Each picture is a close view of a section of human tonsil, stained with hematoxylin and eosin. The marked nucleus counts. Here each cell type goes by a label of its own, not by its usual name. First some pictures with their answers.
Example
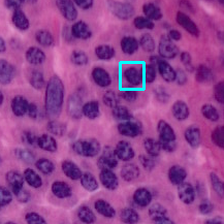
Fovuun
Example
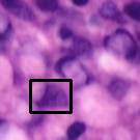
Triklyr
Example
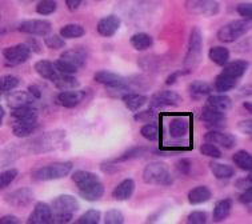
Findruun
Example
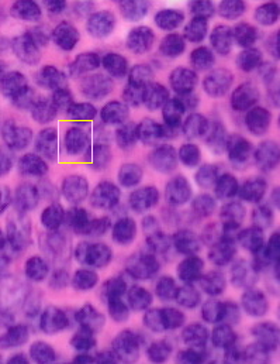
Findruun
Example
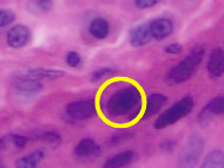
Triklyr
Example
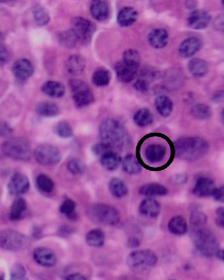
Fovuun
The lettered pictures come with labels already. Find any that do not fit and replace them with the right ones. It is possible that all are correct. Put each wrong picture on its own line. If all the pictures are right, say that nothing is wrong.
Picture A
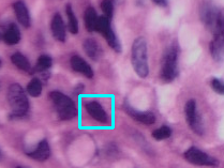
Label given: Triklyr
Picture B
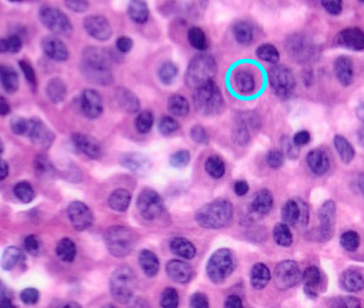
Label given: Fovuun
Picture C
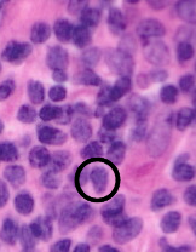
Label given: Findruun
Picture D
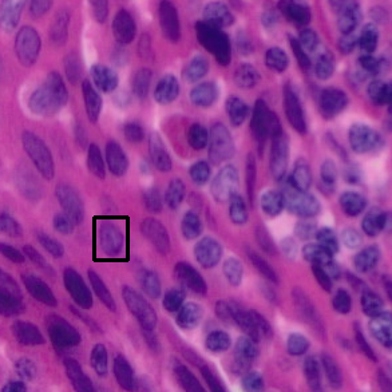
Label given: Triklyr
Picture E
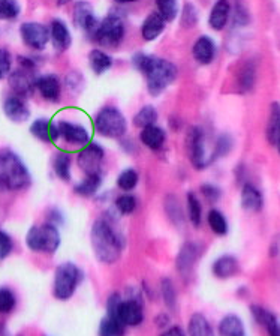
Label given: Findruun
Every label is right.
